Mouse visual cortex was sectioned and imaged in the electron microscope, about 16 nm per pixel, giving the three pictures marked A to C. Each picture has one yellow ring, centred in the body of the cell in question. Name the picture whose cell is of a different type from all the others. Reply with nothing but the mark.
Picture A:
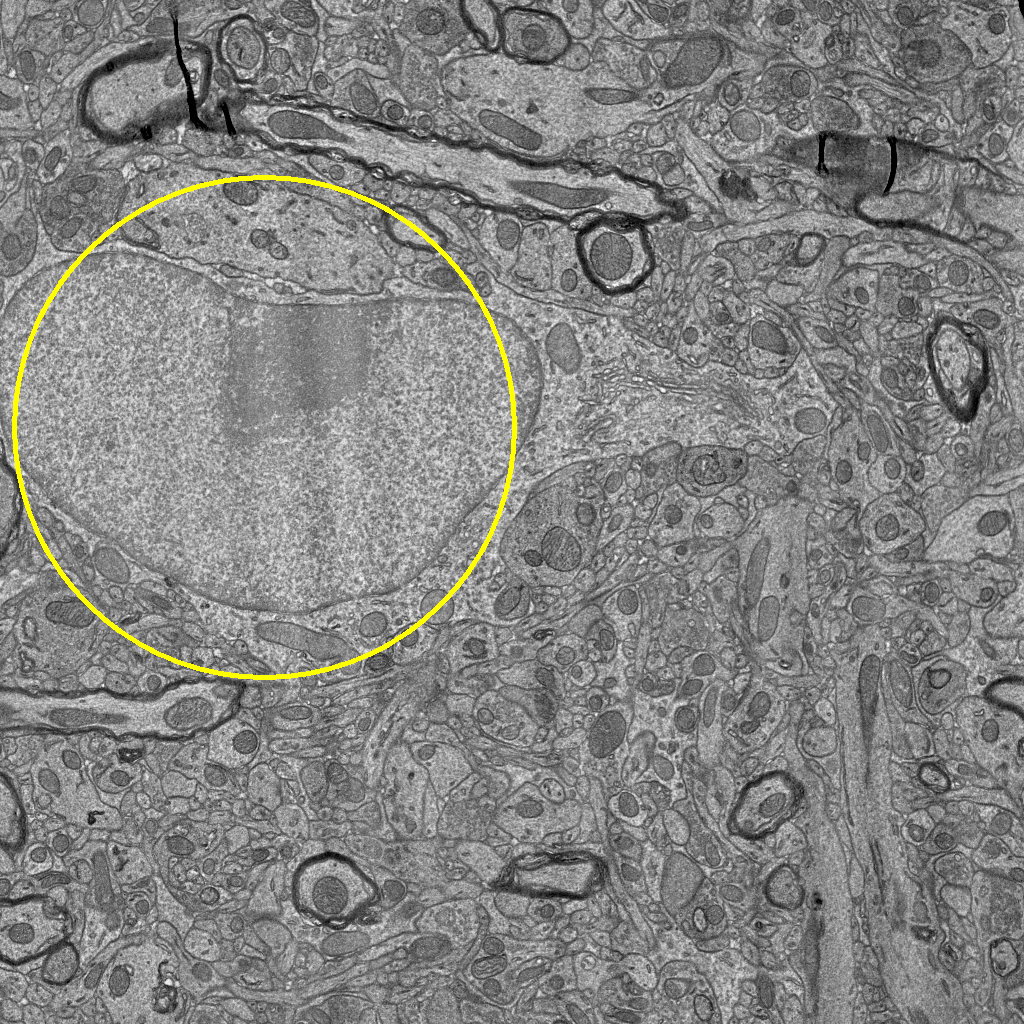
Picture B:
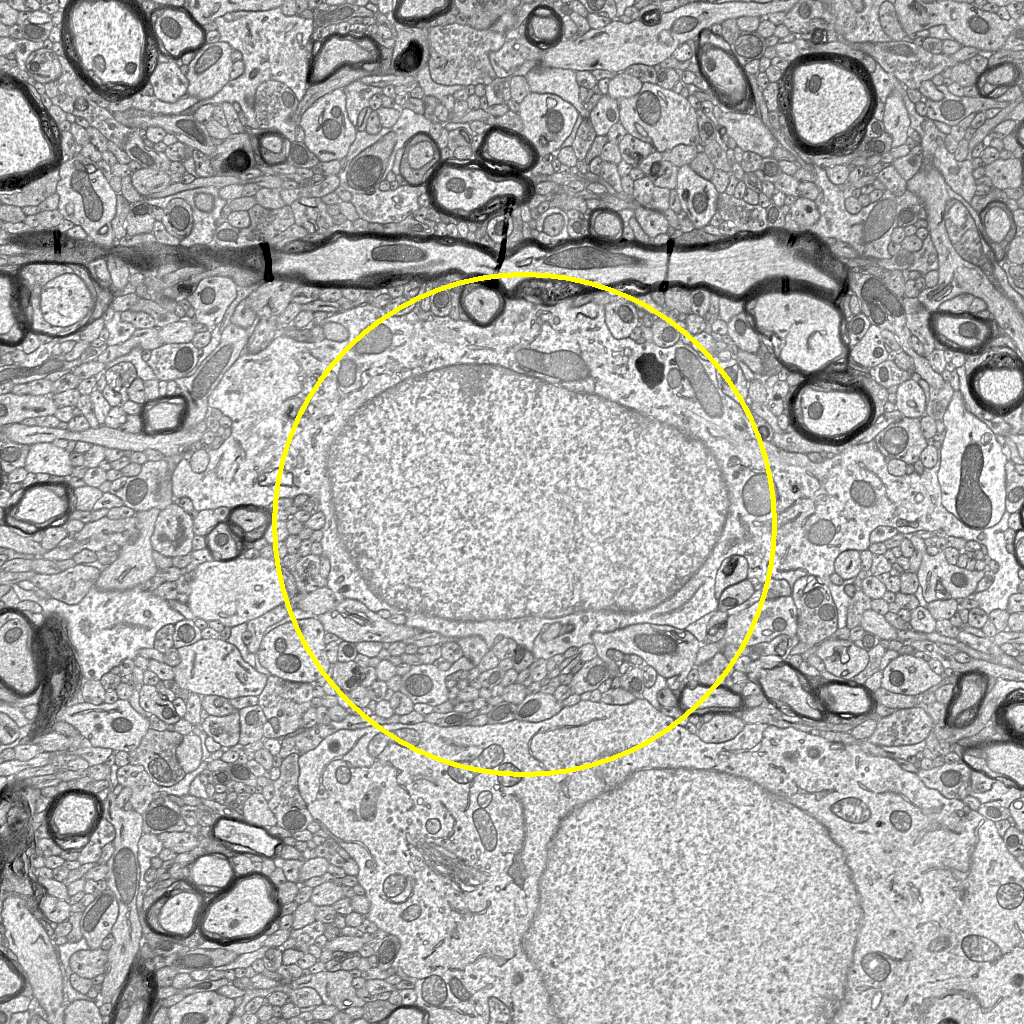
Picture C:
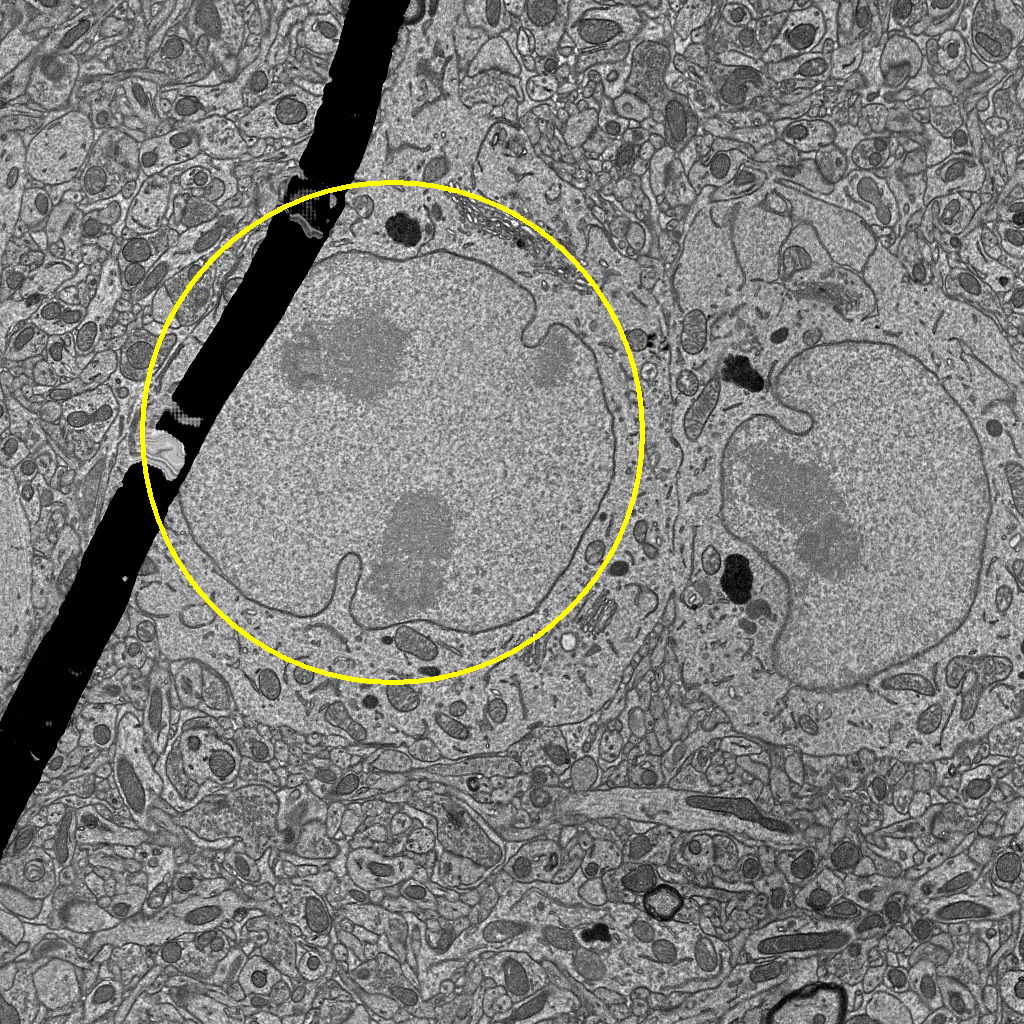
C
